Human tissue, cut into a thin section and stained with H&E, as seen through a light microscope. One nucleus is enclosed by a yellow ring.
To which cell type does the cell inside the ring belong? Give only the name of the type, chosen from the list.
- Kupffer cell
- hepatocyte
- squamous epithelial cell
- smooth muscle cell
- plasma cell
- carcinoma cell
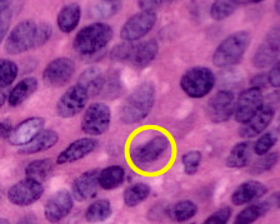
carcinoma cell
